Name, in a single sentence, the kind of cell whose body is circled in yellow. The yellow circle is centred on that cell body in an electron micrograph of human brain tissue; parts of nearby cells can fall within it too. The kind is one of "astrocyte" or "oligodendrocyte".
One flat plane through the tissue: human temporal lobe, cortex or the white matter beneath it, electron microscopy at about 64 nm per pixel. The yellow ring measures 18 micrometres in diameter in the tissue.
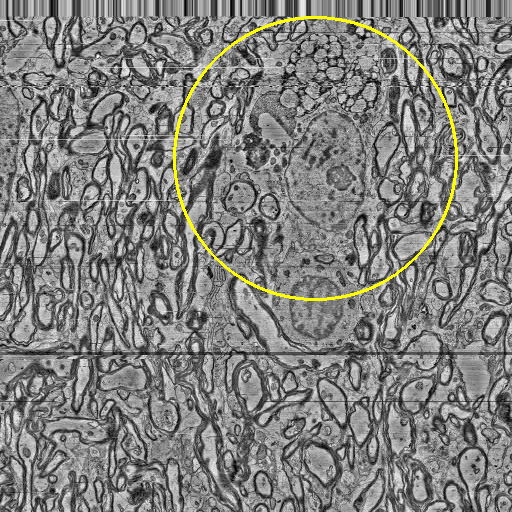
The circled cell body belongs to an astrocyte.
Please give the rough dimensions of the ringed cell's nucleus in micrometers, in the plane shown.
Roughly 8 by 6 micrometres is the size of the nucleus in this plane.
